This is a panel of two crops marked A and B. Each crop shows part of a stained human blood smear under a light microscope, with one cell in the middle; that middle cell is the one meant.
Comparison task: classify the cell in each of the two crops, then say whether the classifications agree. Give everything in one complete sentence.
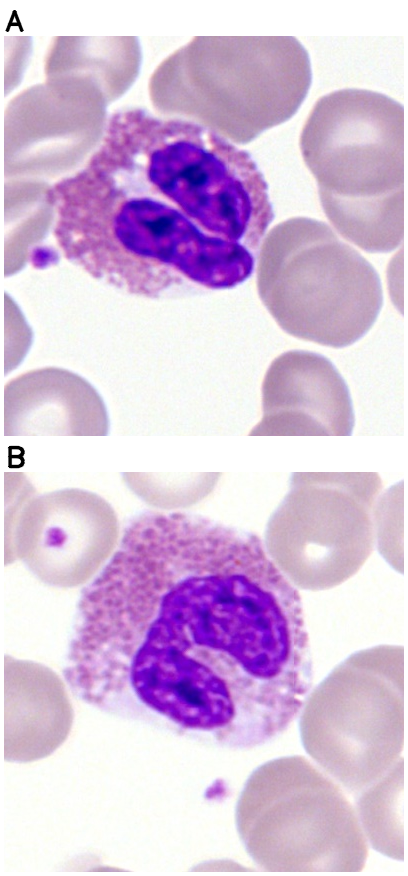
Yes, the cells found in the middle of both crops are eosinophils.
